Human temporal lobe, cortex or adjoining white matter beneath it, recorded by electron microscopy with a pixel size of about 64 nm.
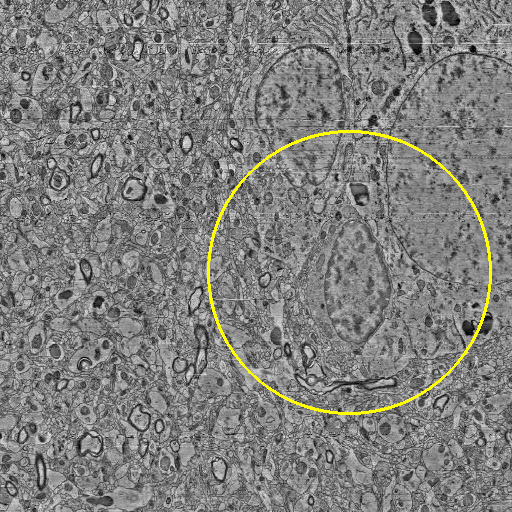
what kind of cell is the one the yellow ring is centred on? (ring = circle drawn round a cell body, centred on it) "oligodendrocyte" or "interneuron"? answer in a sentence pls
The ring is drawn around an oligodendrocyte.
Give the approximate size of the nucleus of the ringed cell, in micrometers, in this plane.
The nucleus works out at approximately 8 by 4 micrometres in this plane.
